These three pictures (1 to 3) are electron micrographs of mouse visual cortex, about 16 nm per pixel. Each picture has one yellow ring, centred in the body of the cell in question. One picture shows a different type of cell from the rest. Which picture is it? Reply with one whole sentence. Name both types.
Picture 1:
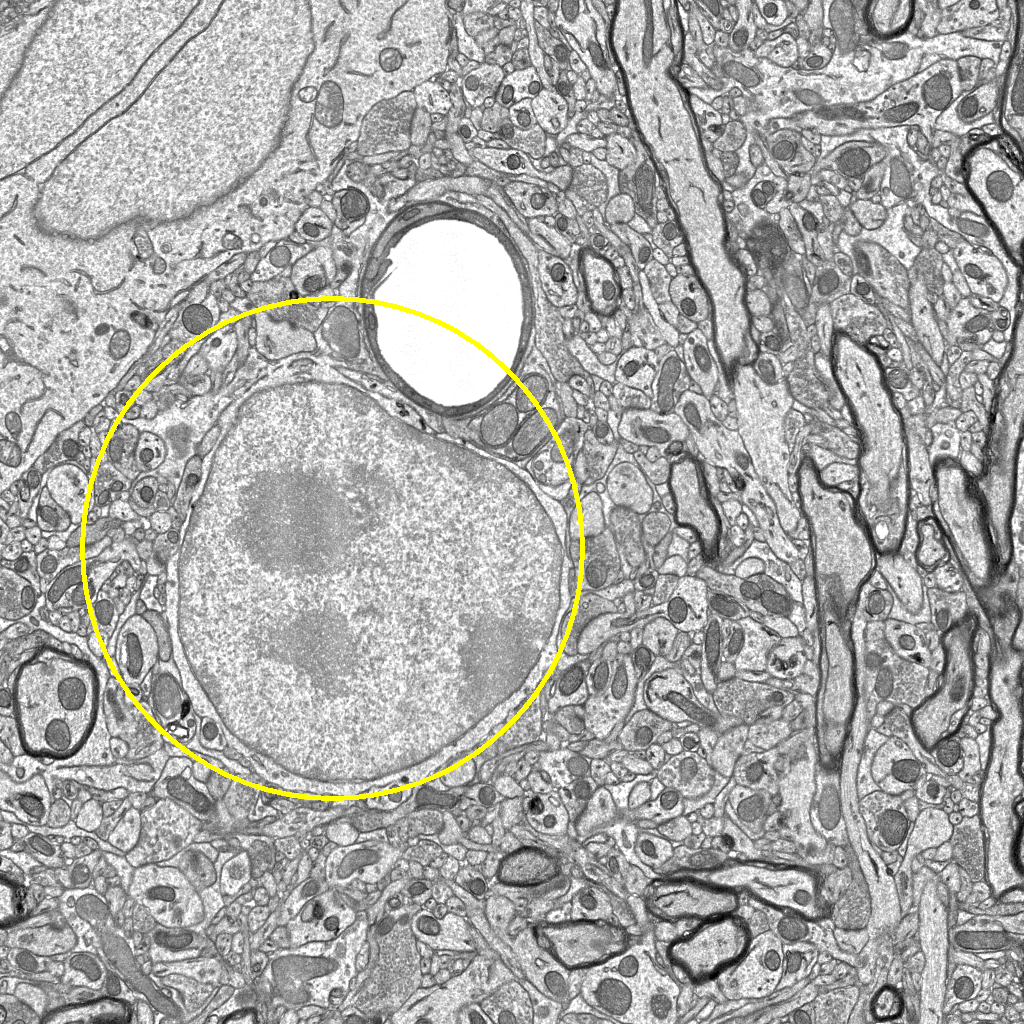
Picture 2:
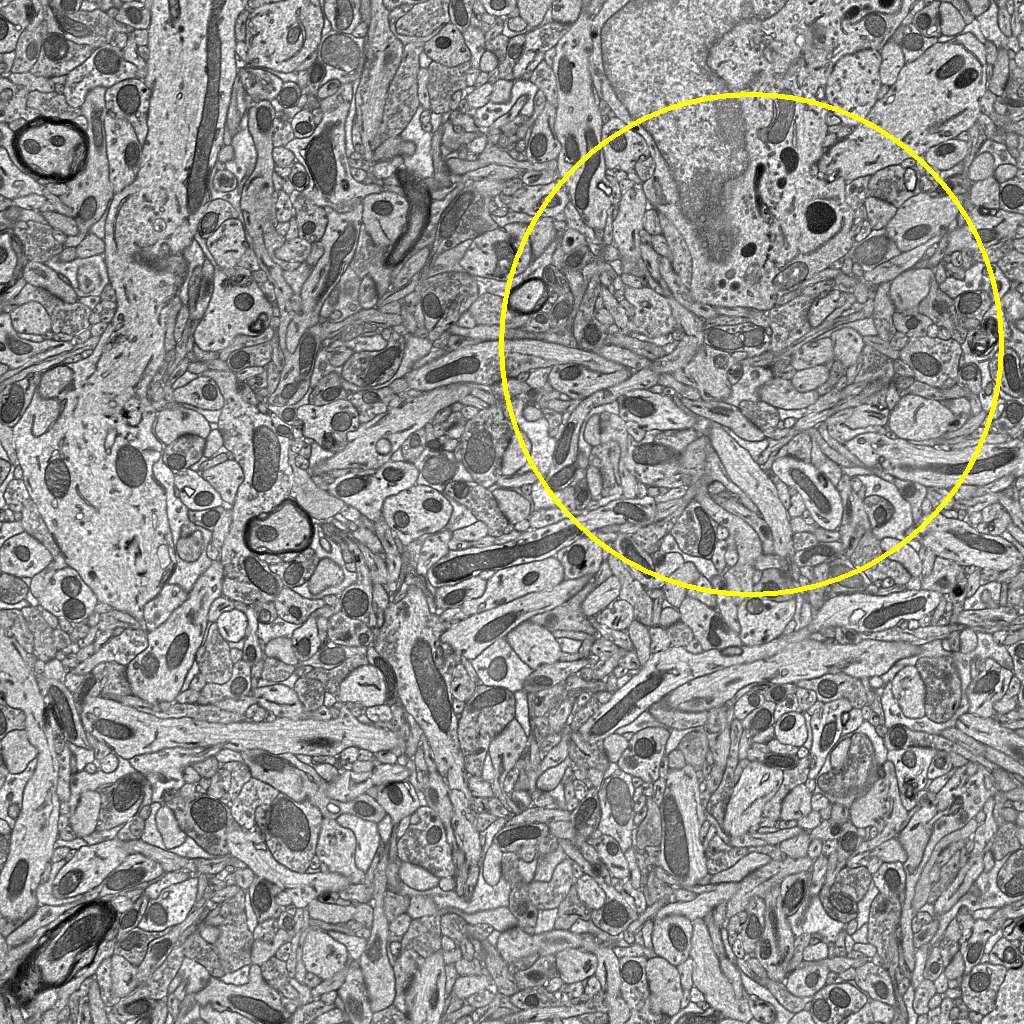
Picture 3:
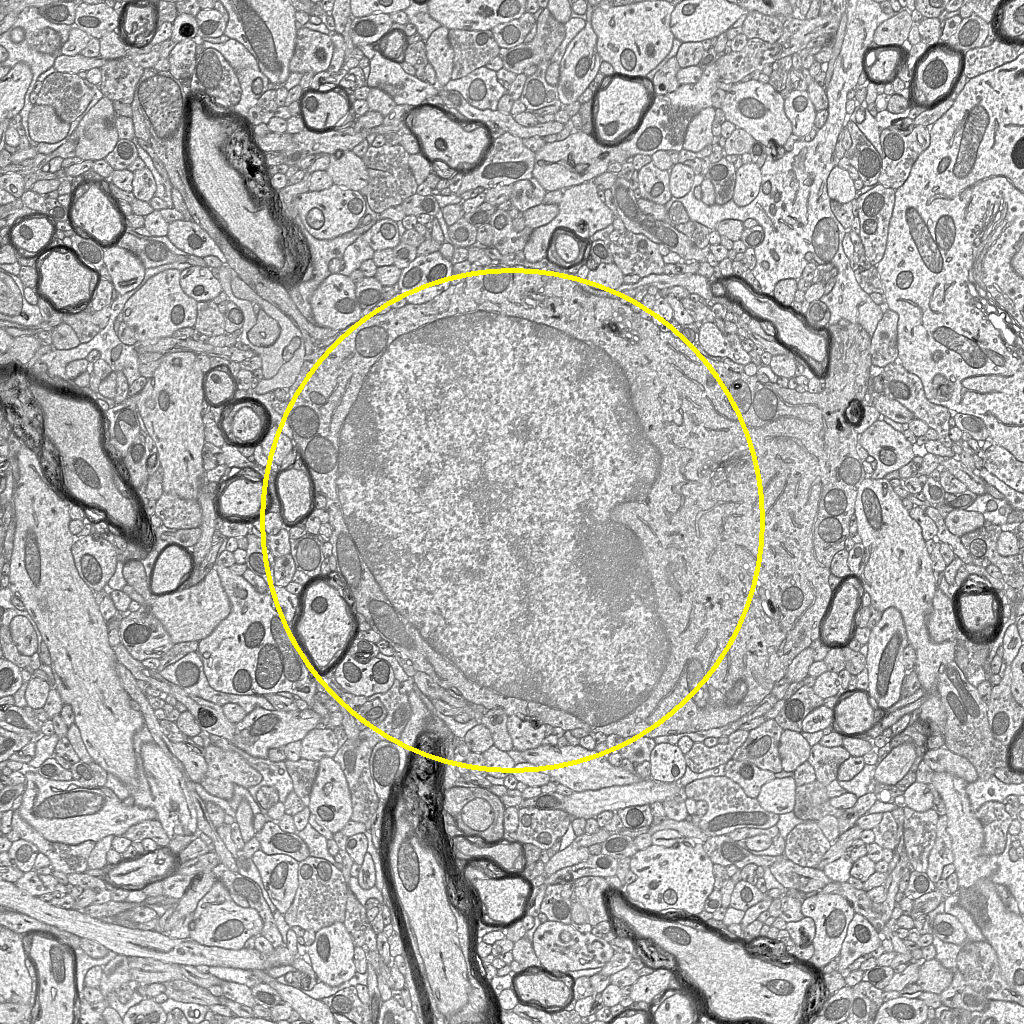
Unlike the rest, which show oligodendrocyte precursor cells, picture 3 shows an oligodendrocyte.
